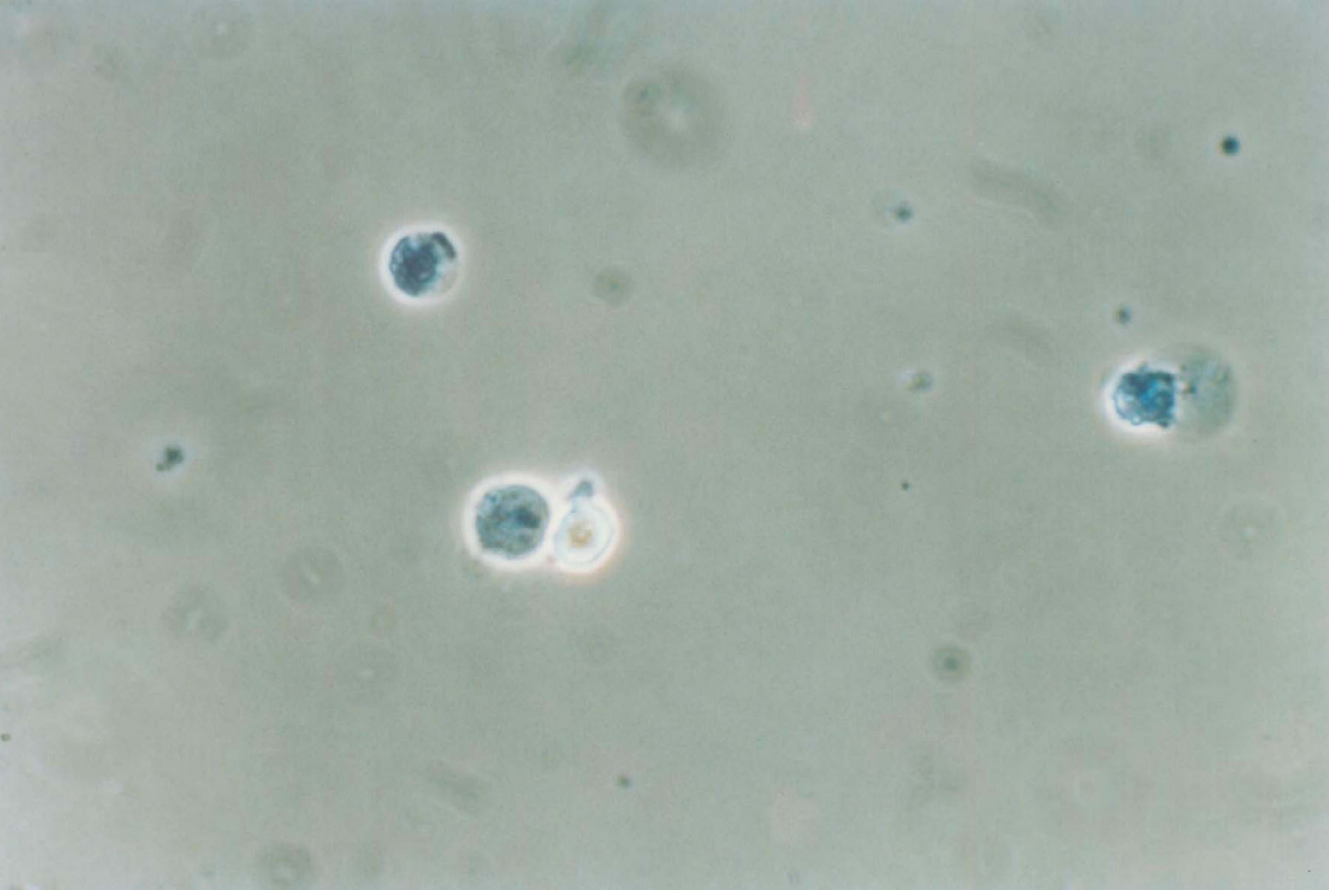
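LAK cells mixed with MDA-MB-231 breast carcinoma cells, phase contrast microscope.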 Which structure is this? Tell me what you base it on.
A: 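In the centre a smaller unstained refractile cell lies pressed against a larger blue-stained cell. The two cells touch along a shared border with no gap between them. On this evidence: conjugate.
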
